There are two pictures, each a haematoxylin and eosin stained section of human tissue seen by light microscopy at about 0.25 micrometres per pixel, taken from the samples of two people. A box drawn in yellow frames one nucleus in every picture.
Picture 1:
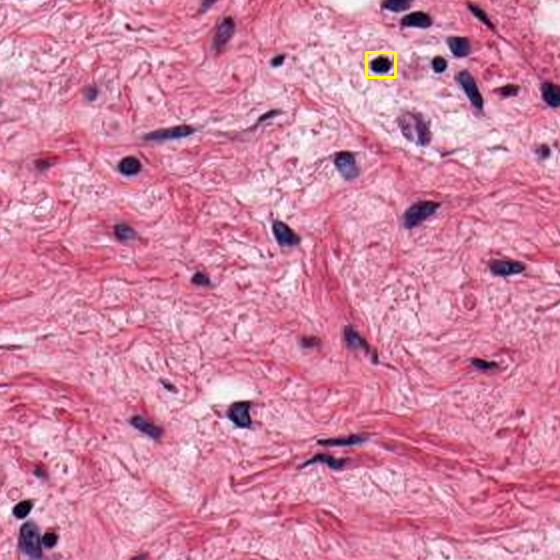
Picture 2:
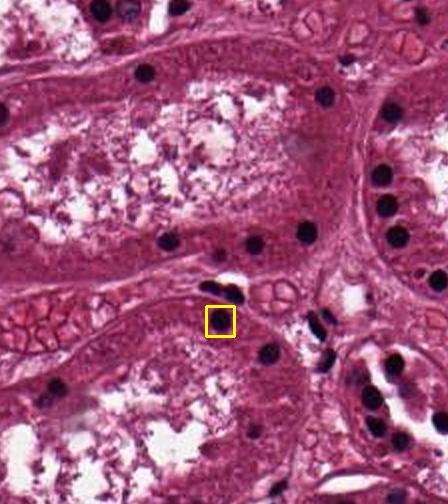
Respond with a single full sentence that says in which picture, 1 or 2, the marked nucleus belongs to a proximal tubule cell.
It is a proximal tubule cell to which the marked nucleus in picture 2 belongs.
